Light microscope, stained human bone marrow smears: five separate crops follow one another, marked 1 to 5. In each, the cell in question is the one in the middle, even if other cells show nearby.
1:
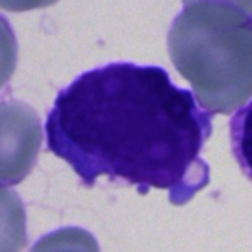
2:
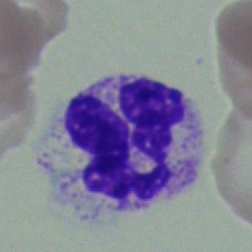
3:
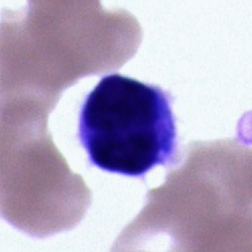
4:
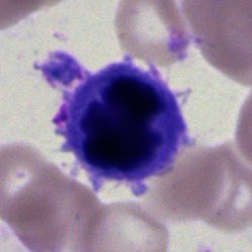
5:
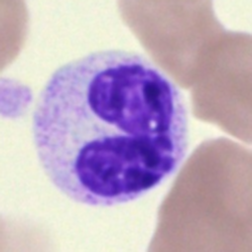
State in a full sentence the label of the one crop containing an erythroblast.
Only in crop 4 is an erythroblast shown.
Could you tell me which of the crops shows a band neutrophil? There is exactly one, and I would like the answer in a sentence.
Of all the crops, crop 5 is the one showing a band neutrophil.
